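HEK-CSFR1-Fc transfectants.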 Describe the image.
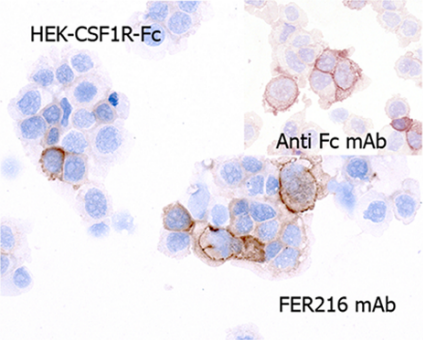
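Cultured cells spread out as single cells and small loose clusters, each rounded to polygonal, with a large round to oval blue nucleus and a thin rim of pale cytoplasm. Only some of the cells are stained: these carry a brown line along their outer border, outlining the cell surface, with fainter brown in parts of the cytoplasm, while neighbouring cells in the same cluster stay unstained and blue. The inset shows similar cells, several of them again ringed by brown at the surface. This is a preparation of cultured cells with surface labelling in a subset of them.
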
